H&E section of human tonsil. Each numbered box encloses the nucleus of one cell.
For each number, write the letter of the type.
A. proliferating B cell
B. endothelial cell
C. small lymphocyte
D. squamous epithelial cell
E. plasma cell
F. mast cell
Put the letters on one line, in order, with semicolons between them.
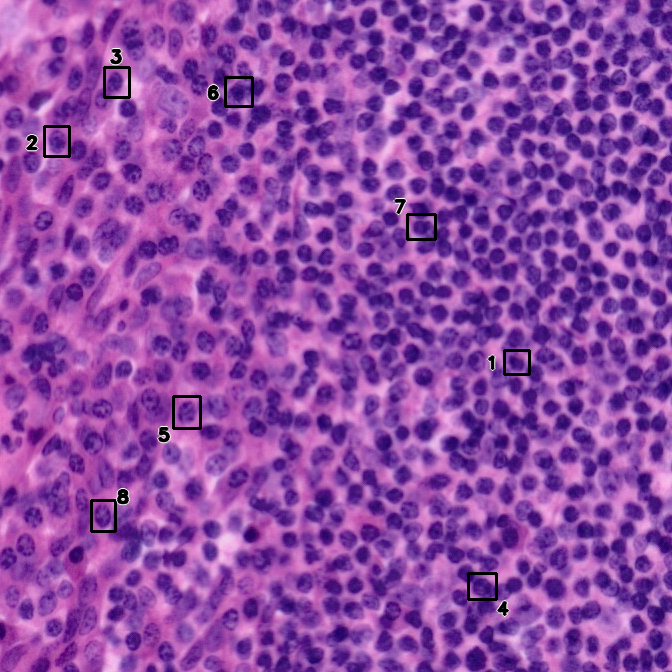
C; E; E; C; E; C; C; E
